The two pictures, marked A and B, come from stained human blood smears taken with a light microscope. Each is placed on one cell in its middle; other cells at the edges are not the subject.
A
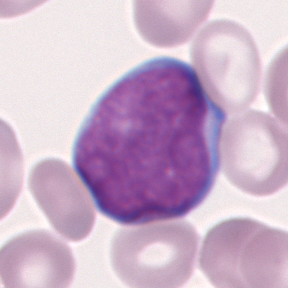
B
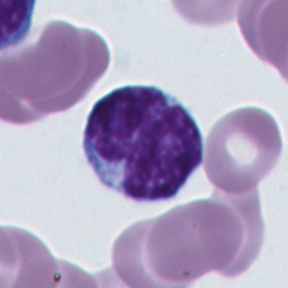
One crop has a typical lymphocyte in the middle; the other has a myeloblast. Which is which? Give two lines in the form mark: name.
A: myeloblast
B: typical lymphocyte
